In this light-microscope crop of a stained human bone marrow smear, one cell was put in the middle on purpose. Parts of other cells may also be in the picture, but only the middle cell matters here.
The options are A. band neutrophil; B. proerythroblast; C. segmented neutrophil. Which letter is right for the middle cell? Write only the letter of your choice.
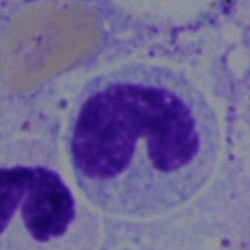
A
